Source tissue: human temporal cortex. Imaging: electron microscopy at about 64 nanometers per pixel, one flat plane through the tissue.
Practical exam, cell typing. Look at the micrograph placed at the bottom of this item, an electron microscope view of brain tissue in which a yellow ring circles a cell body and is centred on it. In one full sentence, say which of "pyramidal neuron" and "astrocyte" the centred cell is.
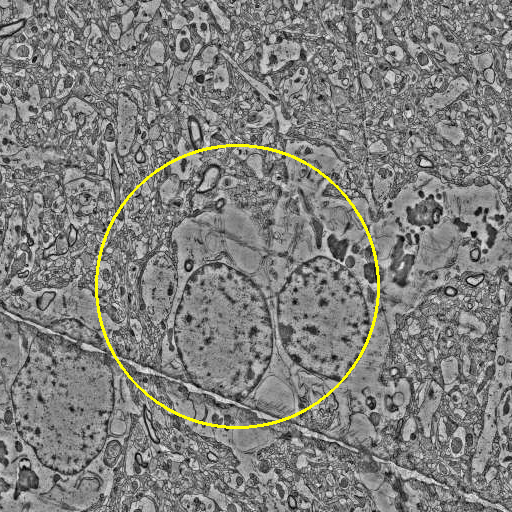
Given the options, an astrocyte fits the cell whose body the yellow ring is centred on.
